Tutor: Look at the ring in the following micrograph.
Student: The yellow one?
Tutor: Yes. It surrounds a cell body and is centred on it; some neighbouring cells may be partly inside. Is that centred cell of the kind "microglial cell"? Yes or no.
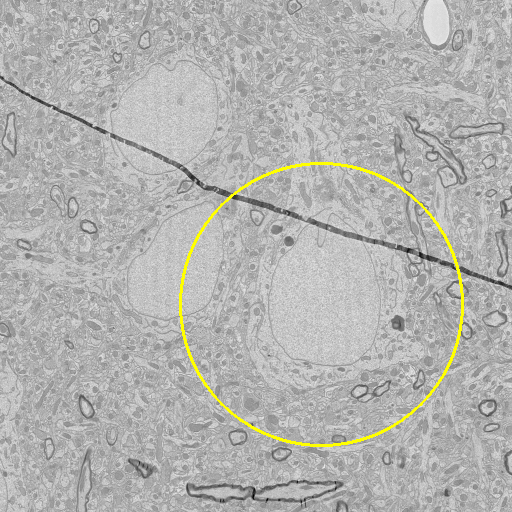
no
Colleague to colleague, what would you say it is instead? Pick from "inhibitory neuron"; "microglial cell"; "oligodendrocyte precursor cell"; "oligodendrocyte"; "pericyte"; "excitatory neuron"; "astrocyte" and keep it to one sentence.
At the centre of the ring sits an excitatory neuron.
